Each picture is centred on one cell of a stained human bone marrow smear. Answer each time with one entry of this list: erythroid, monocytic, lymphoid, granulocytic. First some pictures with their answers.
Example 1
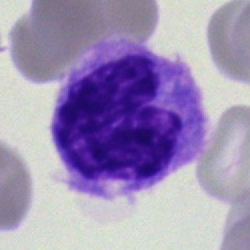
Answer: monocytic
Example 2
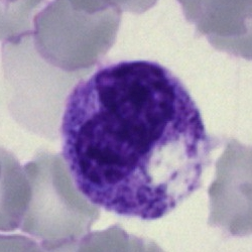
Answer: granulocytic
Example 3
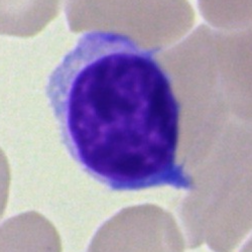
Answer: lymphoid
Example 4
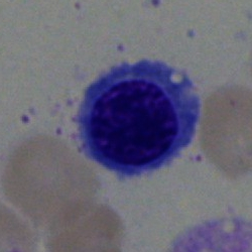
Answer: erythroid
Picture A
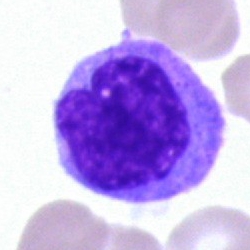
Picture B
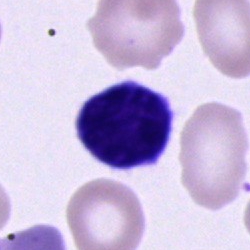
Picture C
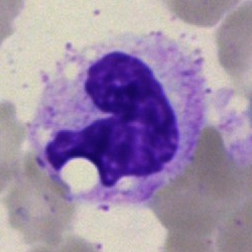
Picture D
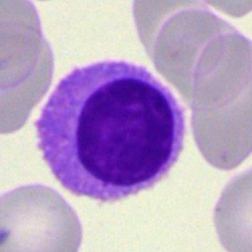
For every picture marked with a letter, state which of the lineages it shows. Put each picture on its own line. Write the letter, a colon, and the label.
A: monocytic
B: lymphoid
C: granulocytic
D: monocytic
